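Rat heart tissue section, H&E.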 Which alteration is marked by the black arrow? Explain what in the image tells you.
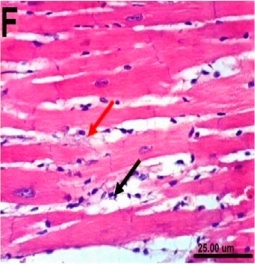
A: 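Infiltration of few intermuscular cells. The arrow points to a small group of dark purple nuclei lying between muscle fibres.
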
